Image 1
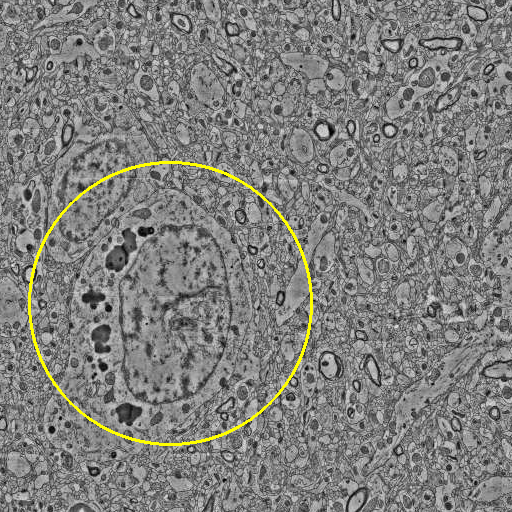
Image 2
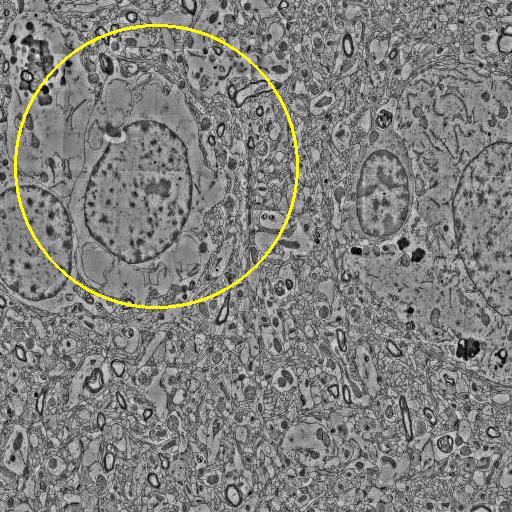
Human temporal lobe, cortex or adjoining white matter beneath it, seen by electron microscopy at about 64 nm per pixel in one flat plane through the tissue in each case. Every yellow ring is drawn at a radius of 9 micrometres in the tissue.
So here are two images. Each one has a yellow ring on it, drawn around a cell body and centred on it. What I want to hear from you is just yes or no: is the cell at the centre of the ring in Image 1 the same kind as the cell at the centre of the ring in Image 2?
no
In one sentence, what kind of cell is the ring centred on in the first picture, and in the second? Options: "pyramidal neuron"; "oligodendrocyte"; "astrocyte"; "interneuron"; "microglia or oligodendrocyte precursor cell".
The cell at the centre of the second ring is an astrocyte; the first ring's cell is an interneuron.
